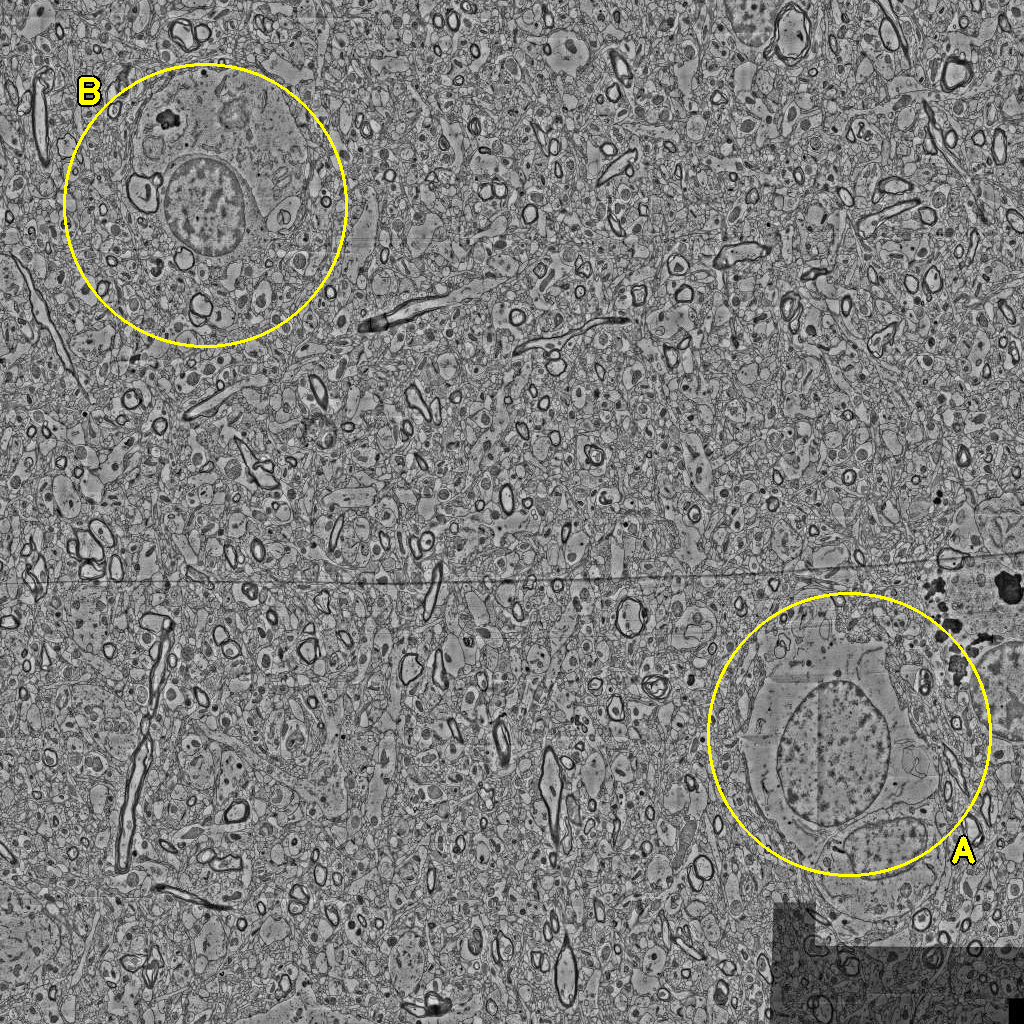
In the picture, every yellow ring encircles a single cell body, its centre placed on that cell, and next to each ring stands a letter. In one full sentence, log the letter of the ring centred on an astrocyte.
The ring with the requested cell at its centre bears the letter A.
